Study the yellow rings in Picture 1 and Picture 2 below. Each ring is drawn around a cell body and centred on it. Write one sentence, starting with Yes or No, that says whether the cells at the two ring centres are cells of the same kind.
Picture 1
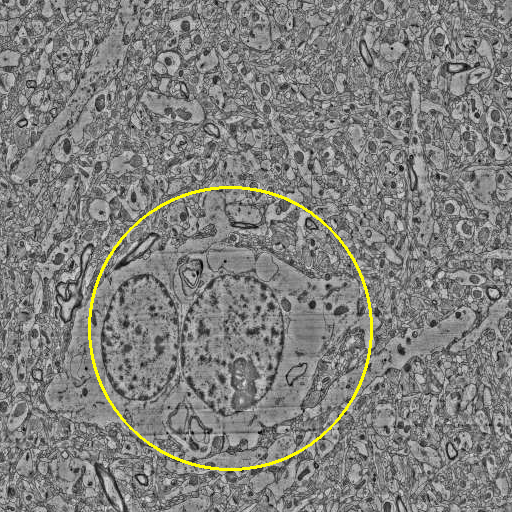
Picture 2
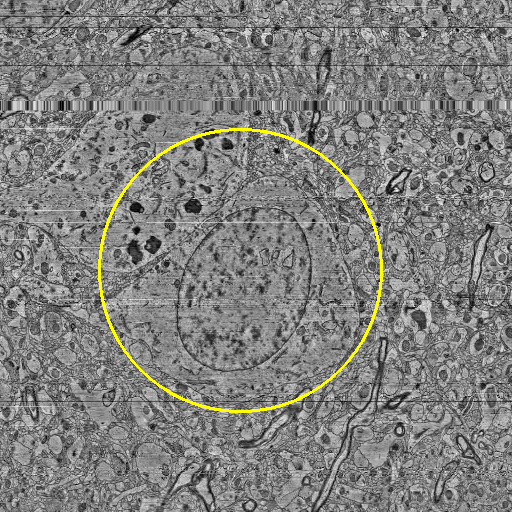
No, the cells at the ring centres are of two kinds.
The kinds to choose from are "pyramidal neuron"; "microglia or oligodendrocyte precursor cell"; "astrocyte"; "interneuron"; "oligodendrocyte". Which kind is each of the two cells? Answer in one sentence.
Of the two, the first cell is an astrocyte and the second cell is a pyramidal neuron.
